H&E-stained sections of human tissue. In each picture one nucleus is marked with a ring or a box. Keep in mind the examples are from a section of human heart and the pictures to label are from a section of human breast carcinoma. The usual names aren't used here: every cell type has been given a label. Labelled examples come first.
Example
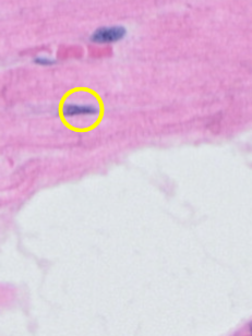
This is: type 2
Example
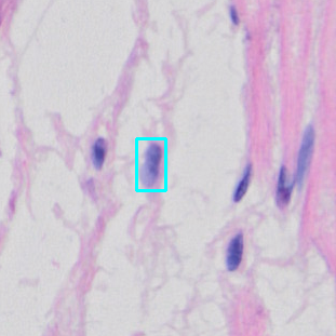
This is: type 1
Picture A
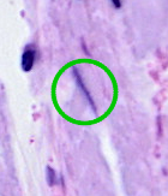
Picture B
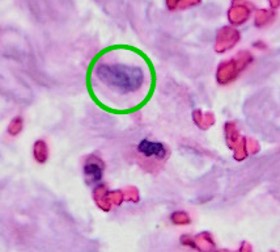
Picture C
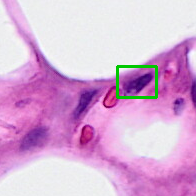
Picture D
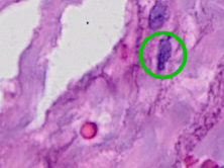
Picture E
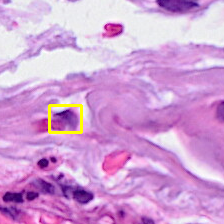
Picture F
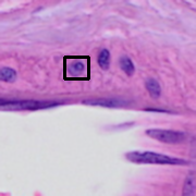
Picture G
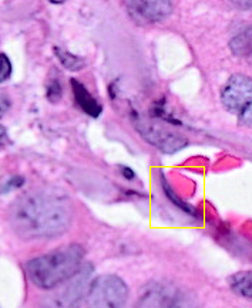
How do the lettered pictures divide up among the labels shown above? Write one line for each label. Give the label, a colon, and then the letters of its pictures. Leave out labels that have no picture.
type 2: C, F, G
type 1: A, B, D, E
